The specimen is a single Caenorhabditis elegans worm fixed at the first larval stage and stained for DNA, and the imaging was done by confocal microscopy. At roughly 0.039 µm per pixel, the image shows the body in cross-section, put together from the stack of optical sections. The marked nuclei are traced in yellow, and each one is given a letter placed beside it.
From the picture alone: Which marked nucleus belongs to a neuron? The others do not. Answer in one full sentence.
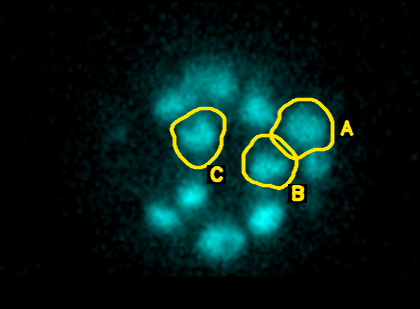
The one from a neuron is C.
